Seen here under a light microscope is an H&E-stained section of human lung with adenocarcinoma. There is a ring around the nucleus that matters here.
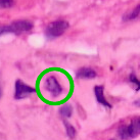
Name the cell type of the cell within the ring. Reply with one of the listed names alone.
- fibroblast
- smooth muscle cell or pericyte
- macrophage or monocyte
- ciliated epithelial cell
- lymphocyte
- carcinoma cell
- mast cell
mast cell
